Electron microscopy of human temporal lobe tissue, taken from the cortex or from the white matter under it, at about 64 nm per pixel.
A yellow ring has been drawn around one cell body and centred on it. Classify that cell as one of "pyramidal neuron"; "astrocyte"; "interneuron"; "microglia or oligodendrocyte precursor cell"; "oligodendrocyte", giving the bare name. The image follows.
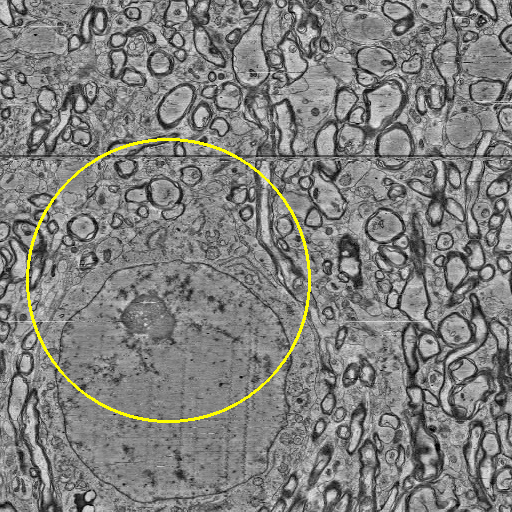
pyramidal neuron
